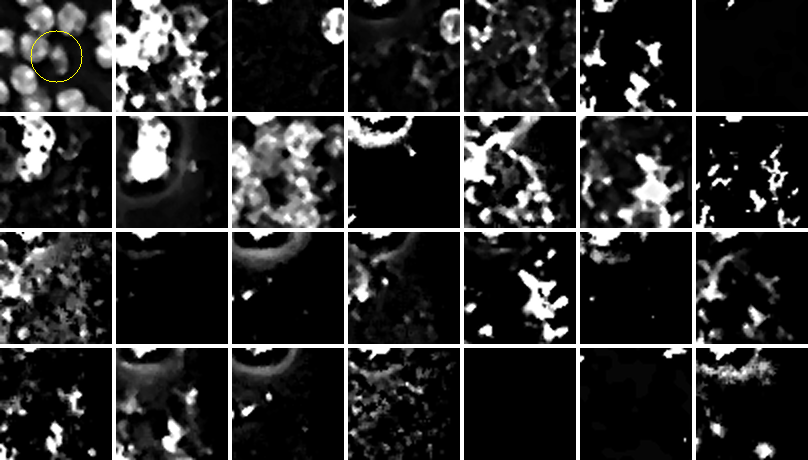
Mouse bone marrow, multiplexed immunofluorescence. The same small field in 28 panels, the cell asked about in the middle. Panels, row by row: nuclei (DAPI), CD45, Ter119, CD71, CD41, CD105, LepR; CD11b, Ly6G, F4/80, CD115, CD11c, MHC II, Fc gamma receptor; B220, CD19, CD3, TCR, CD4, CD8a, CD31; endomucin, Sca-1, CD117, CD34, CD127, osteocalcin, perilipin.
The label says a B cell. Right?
Wrong: this is a conventional dendritic cell.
